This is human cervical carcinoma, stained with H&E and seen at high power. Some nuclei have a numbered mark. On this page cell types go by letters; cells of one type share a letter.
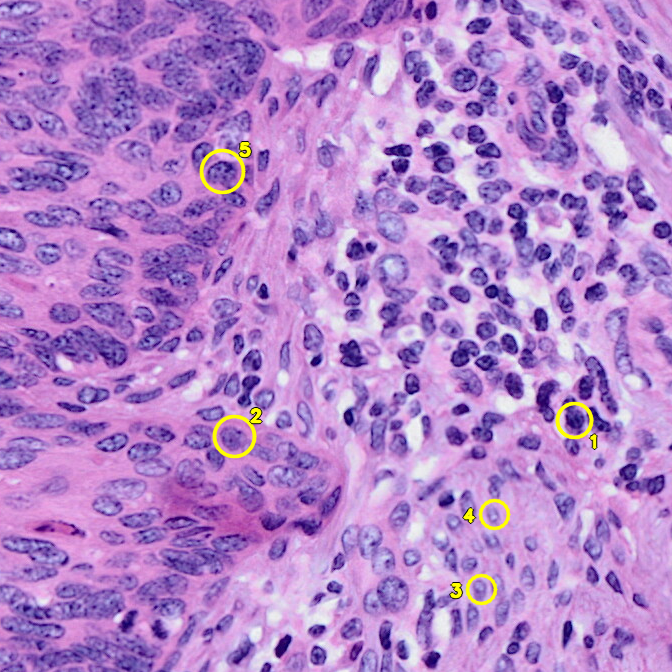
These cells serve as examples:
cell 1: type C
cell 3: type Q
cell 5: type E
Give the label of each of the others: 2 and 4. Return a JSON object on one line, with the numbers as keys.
{"2": "type E", "4": "type Q"}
